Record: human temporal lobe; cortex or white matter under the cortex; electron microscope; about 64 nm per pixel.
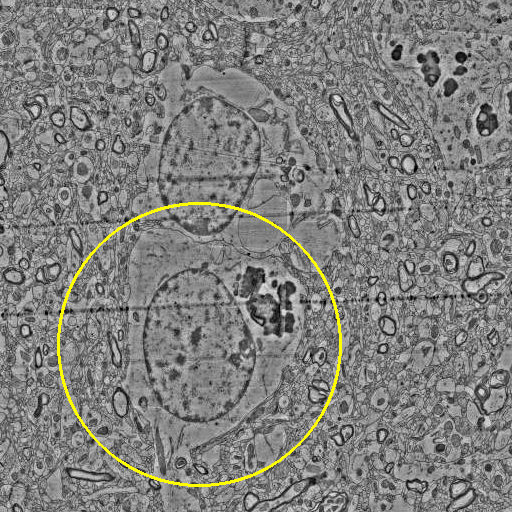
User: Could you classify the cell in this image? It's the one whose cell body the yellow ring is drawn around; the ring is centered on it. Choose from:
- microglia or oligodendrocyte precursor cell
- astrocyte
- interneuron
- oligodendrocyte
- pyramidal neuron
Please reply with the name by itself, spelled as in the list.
astrocyte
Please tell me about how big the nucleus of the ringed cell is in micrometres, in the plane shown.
In this plane, the nucleus of the cell at the centre of the ring measures about 10 by 7 micrometres.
